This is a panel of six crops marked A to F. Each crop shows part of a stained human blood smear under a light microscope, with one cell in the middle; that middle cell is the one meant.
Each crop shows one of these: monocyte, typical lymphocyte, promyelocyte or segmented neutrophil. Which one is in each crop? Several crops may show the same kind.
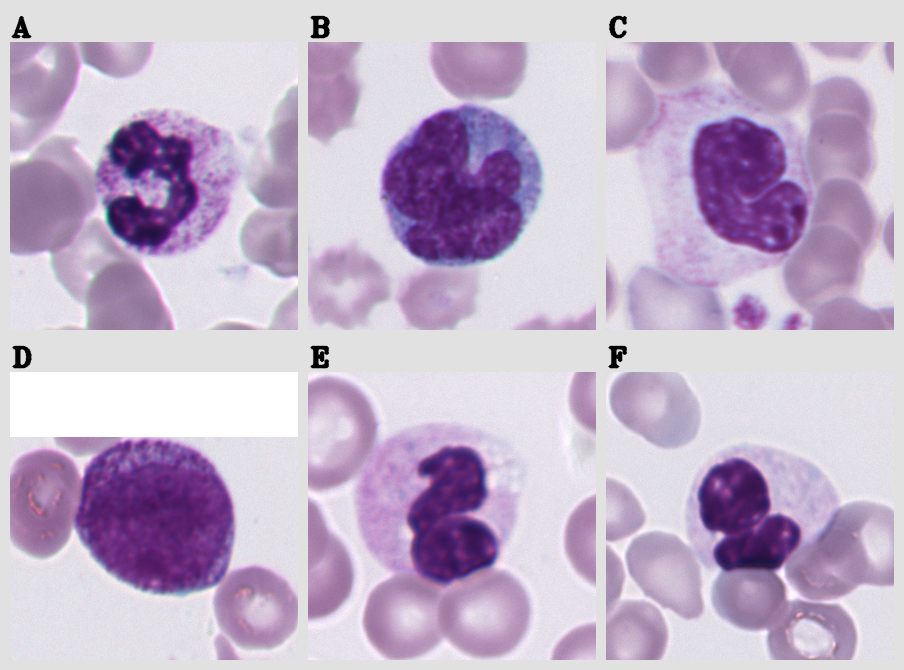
A: segmented neutrophil
B: monocyte
C: segmented neutrophil
D: promyelocyte
E: segmented neutrophil
F: segmented neutrophil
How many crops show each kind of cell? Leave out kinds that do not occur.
segmented neutrophil: 4
monocyte: 1
promyelocyte: 1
